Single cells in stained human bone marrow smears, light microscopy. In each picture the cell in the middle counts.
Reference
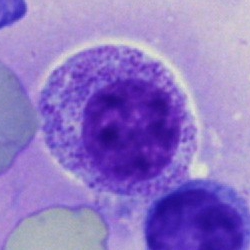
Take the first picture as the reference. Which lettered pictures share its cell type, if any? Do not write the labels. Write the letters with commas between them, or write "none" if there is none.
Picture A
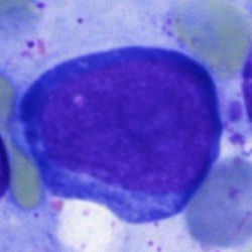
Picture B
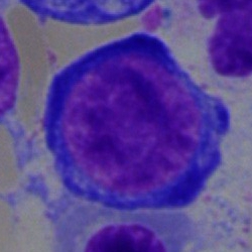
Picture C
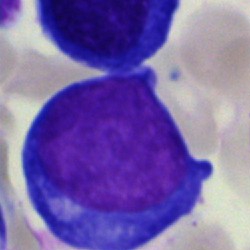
none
